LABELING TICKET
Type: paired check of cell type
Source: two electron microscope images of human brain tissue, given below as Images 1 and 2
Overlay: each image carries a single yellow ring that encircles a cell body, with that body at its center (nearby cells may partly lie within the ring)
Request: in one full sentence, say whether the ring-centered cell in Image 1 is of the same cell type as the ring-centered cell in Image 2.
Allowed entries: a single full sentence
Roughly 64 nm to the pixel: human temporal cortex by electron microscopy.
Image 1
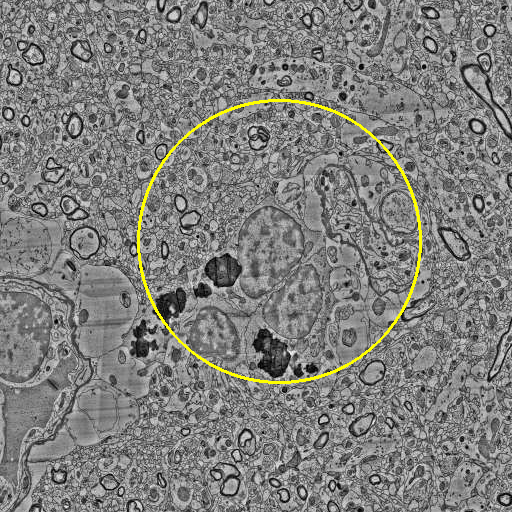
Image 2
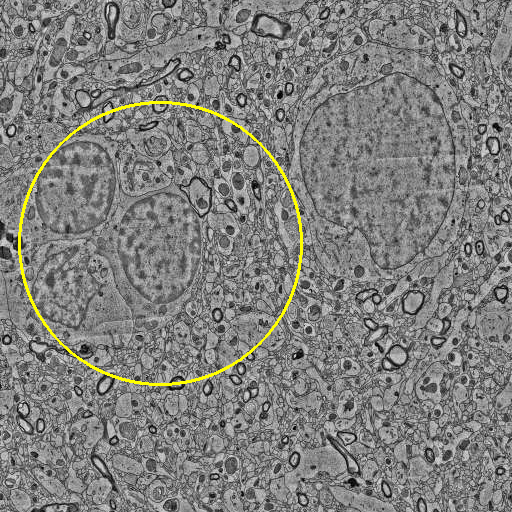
Yes, the cells centered in the rings of Image 1 and Image 2 share one type.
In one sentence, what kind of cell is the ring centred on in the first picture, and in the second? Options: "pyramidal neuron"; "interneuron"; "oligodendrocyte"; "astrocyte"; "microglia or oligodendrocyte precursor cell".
Each cell at the centre of a ring is an oligodendrocyte.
